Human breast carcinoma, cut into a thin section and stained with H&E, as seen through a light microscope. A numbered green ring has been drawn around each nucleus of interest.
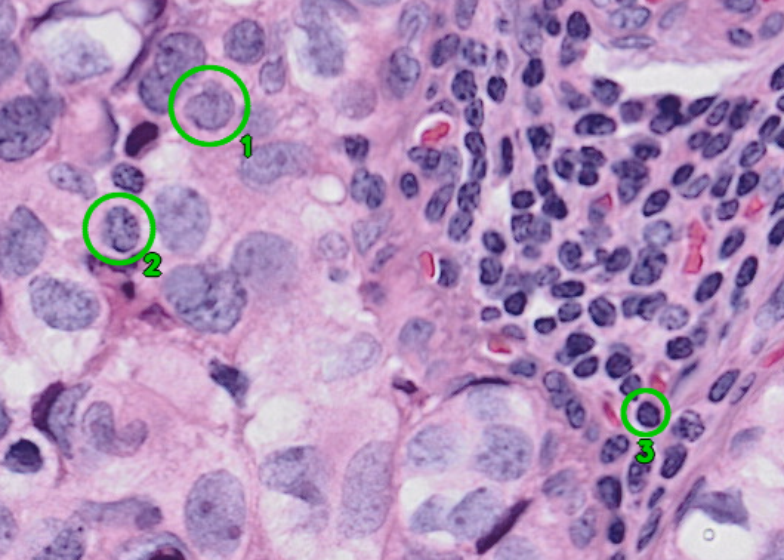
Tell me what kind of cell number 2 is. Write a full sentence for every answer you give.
The marked nucleus 2 is that of a carcinoma cell.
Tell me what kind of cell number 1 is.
Cell 1 is classified as a carcinoma cell.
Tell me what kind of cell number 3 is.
The mark numbered 3 indicates the nucleus of a lymphocyte.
